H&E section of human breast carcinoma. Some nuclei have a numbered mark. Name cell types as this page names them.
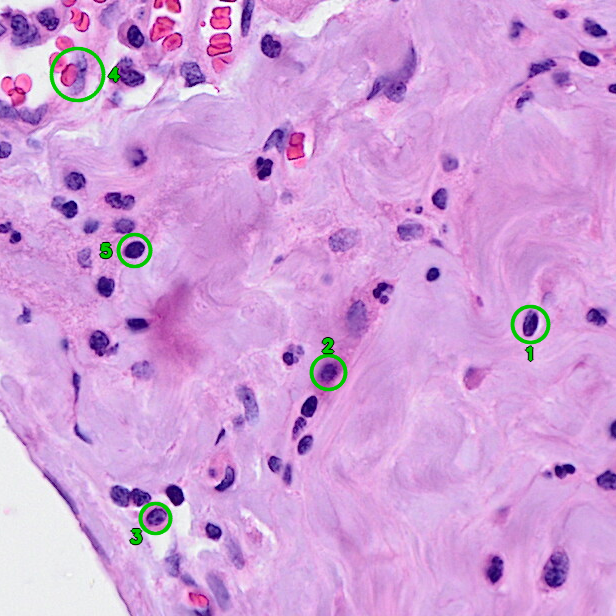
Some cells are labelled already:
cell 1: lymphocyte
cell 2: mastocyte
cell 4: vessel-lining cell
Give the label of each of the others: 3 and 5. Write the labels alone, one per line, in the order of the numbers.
mastocyte
lymphocyte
